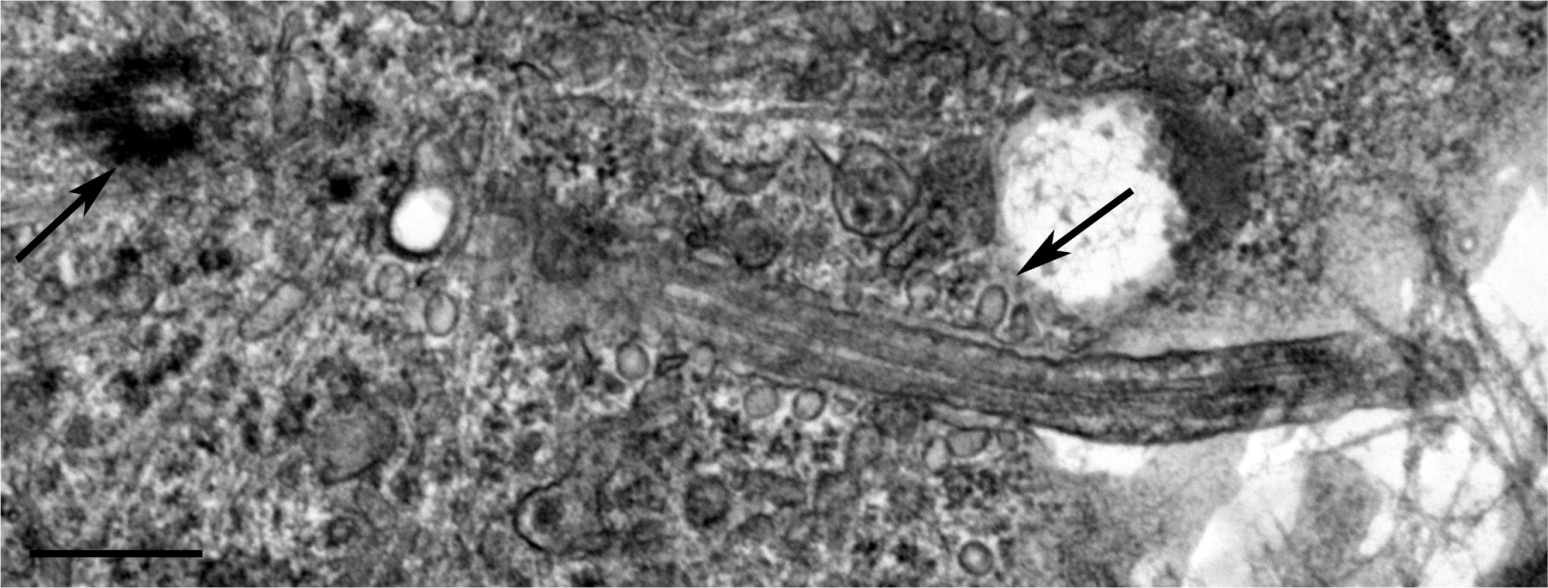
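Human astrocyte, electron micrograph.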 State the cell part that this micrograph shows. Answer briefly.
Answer: primary cilium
